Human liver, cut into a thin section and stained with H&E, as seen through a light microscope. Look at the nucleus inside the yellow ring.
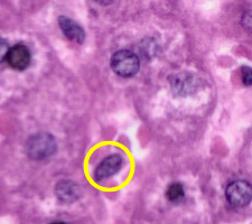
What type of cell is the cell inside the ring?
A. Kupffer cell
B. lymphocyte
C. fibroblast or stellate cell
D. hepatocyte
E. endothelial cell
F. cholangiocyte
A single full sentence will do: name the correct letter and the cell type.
Option A is correct here; the cell inside the ring is a Kupffer cell.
